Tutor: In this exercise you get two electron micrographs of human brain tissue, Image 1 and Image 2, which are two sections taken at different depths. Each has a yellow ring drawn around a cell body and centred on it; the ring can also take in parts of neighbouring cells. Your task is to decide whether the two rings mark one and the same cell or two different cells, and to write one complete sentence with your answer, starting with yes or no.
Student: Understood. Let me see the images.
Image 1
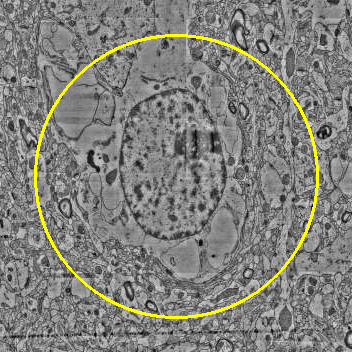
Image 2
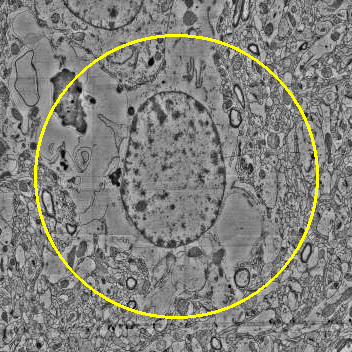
Yes, the marked cell is the same in both rings.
